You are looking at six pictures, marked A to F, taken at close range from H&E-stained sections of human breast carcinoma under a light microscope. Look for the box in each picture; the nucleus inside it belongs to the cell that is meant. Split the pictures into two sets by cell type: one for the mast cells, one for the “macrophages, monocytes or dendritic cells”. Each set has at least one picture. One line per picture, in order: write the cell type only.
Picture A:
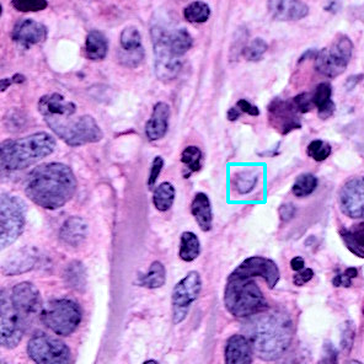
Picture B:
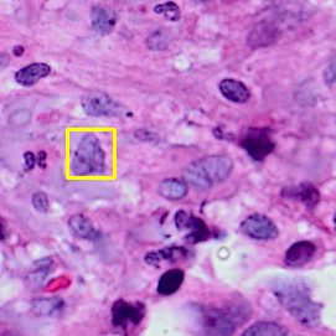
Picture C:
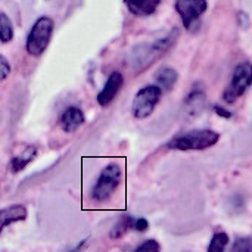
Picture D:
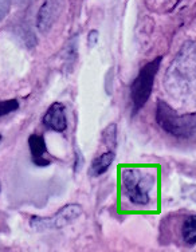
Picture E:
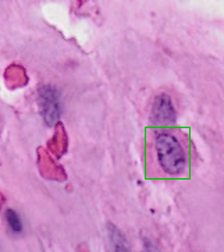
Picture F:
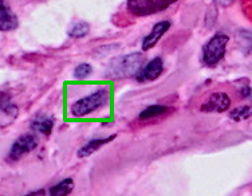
macrophage, monocyte or dendritic cell
macrophage, monocyte or dendritic cell
mast cell
macrophage, monocyte or dendritic cell
mast cell
mast cell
